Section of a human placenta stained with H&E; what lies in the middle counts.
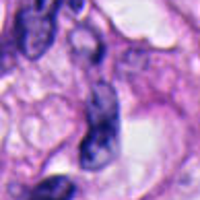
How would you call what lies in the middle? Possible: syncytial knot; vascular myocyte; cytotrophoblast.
I would call it a vascular myocyte.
